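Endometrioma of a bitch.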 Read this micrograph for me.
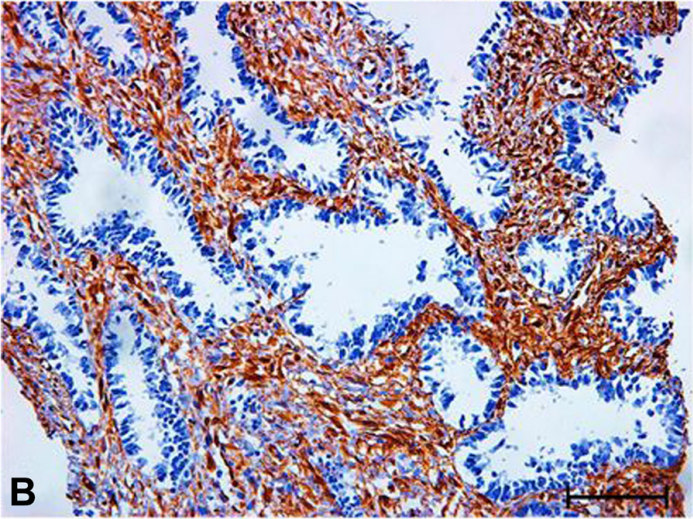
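Dense stroma of spindle-shaped cells with strongly brown-stained cytoplasm surrounds irregular glandular spaces. The glands are lined by crowded columnar epithelial cells with blue, elongated nuclei and little or no brown staining. Small vessels are seen within the stroma.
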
